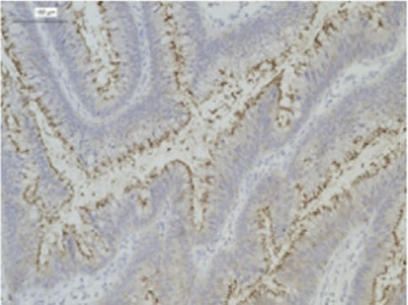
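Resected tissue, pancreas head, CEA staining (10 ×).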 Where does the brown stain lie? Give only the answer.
luminal surface of the neoplastic epithelium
